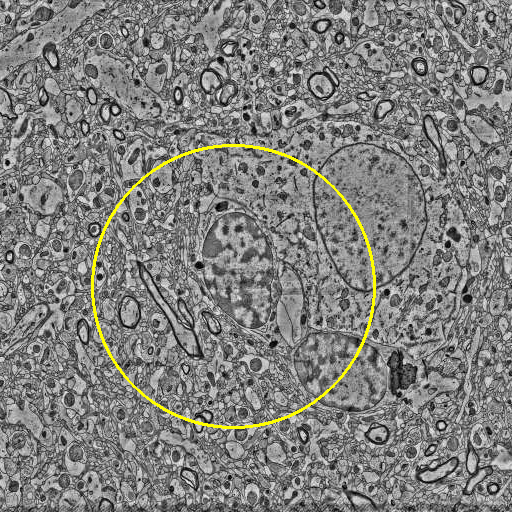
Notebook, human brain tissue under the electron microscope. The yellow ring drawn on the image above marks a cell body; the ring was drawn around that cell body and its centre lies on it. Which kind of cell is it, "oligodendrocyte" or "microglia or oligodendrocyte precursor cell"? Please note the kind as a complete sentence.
The marked cell body is that of a microglial cell or oligodendrocyte precursor cell.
